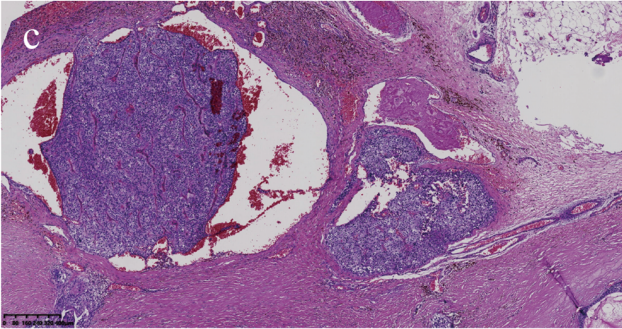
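Low-power view of a tumor in which rounded, solid nests of densely packed cells with dark purple nuclei lie within open vascular spaces. Red blood cells fill parts of the spaces around the nests. The spaces are surrounded by pink fibrous stroma that contains smaller vessels.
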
